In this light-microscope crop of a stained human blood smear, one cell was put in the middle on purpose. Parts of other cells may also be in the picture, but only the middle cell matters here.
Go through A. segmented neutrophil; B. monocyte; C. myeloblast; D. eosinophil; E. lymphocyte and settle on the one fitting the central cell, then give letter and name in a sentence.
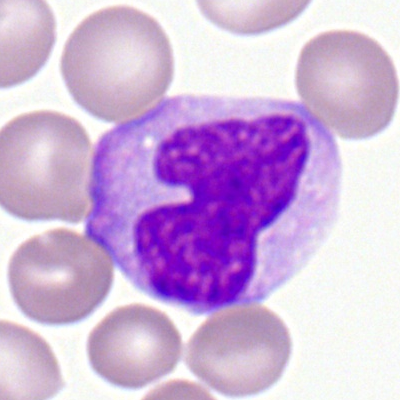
Occupying the middle of the crop is a monocyte, hence option B is correct.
